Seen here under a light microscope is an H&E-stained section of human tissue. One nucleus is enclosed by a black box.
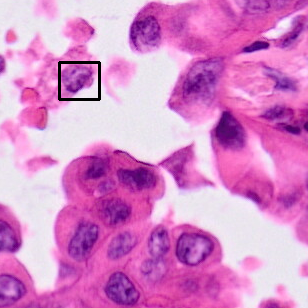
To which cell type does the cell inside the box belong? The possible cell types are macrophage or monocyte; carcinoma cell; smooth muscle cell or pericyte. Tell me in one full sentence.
At the level of cell identity, the cell inside the box is a macrophage or monocyte.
